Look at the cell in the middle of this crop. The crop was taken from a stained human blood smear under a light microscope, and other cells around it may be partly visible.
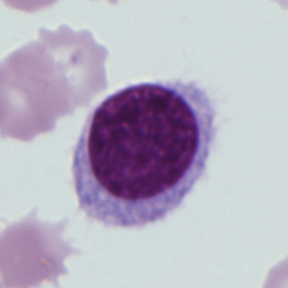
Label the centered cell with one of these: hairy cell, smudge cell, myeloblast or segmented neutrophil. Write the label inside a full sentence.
This crop's central cell is a hairy cell.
